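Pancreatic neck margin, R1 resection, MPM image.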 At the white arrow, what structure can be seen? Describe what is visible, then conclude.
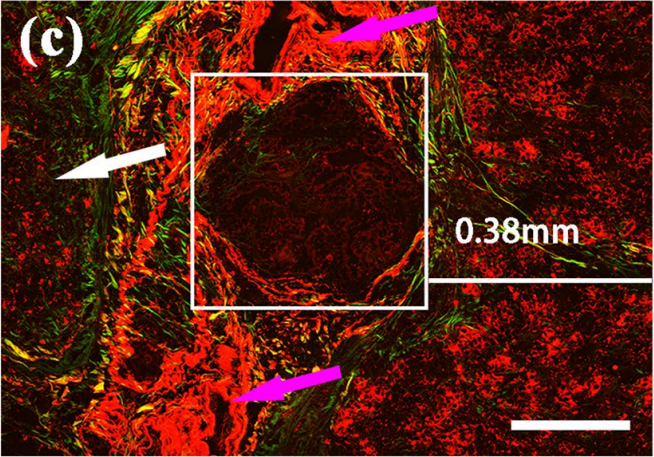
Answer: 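The fibres run in parallel bundles on the left of the field. The answer: collagen fibres.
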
